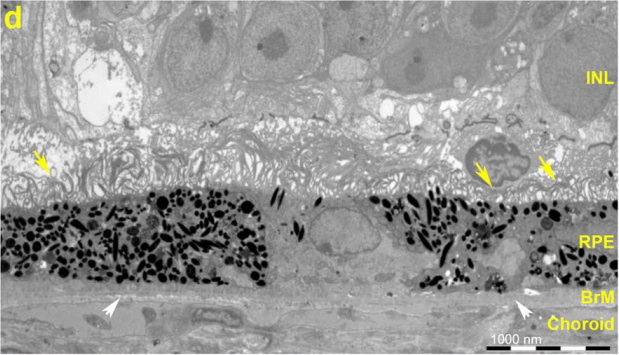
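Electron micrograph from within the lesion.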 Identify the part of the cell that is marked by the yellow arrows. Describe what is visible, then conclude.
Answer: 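Microvilli. The arrows point to a band of fine, tangled finger-like profiles. This band lies on the upper surface of the heavily pigmented cell layer.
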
